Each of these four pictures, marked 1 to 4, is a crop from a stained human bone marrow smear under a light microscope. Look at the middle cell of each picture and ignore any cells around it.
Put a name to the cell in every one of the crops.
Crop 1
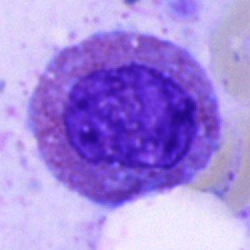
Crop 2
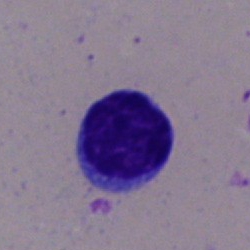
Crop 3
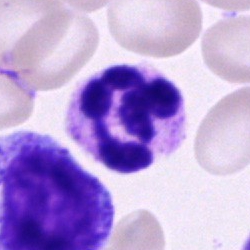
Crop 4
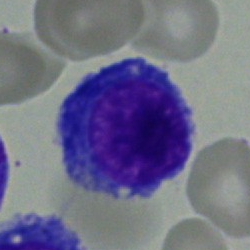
1: eosinophil
2: lymphocyte
3: neutrophil
4: proerythroblast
